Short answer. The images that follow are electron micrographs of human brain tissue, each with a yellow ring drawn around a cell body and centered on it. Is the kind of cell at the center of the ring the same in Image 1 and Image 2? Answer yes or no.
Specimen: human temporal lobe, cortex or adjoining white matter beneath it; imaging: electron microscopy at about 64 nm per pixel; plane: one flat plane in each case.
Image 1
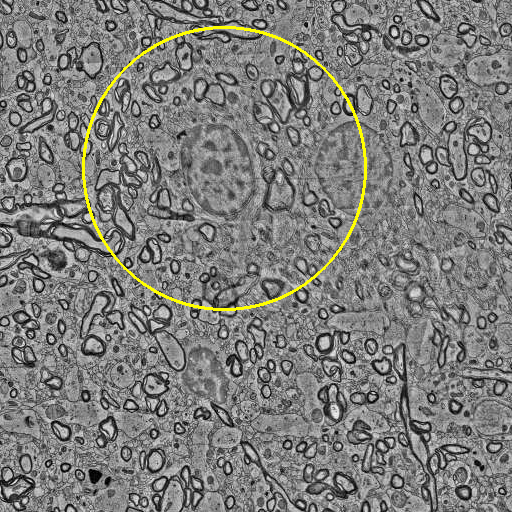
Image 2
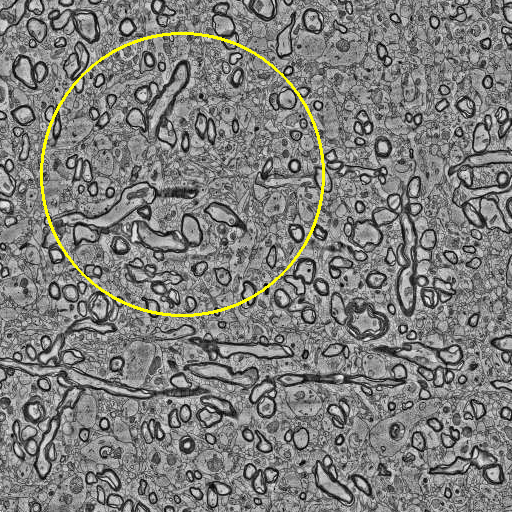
yes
